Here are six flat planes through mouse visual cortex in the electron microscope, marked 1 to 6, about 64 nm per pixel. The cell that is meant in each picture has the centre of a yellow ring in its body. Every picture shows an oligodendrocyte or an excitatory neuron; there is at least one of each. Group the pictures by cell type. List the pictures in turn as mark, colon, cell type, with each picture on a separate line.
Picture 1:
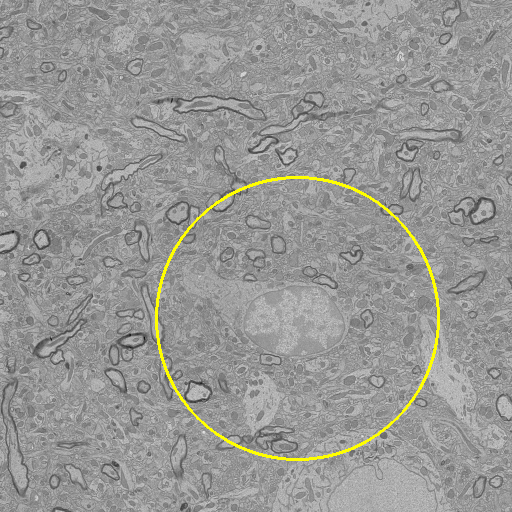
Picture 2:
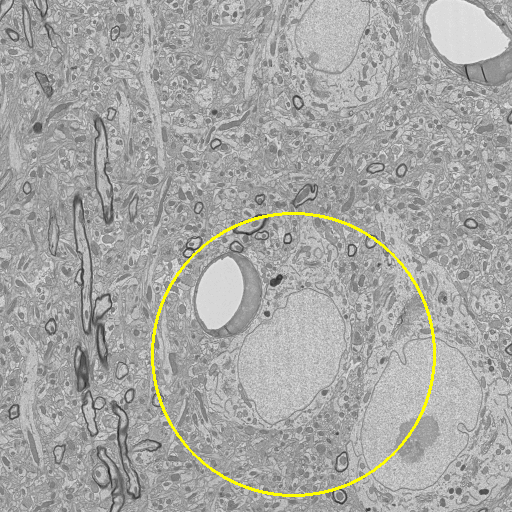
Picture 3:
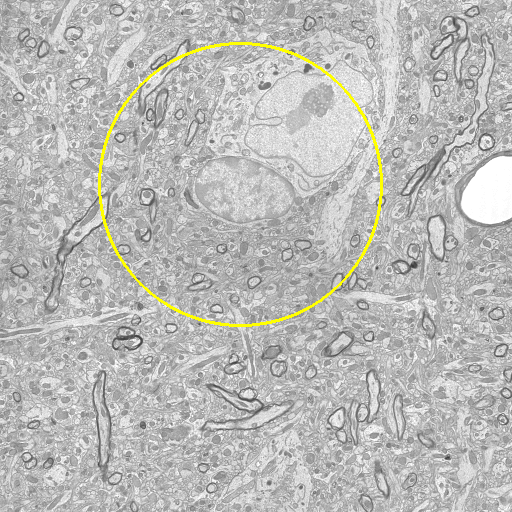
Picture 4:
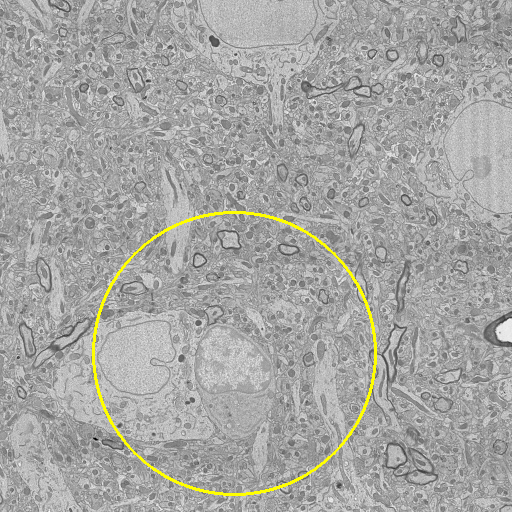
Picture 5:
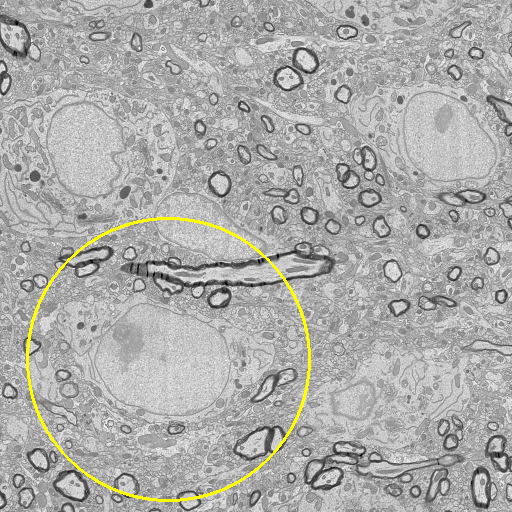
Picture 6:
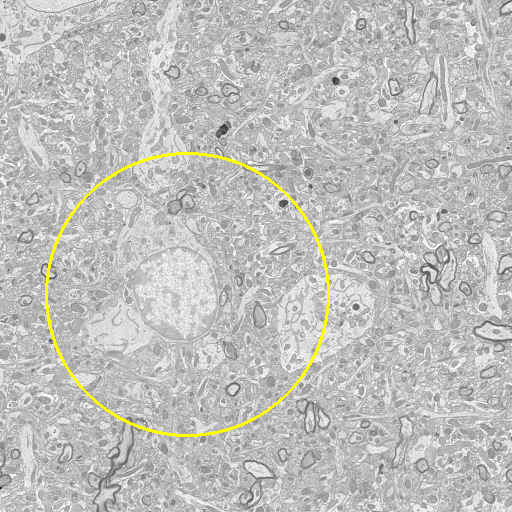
1: oligodendrocyte
2: excitatory neuron
3: oligodendrocyte
4: oligodendrocyte
5: excitatory neuron
6: oligodendrocyte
